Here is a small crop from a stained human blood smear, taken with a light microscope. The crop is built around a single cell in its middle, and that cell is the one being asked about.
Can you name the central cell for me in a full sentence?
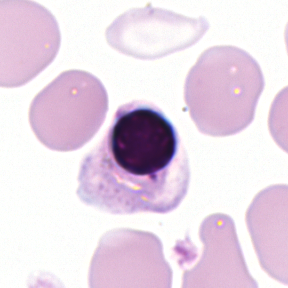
The cell occupying the middle of the crop is a normoblast.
